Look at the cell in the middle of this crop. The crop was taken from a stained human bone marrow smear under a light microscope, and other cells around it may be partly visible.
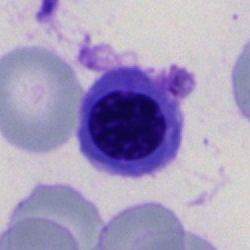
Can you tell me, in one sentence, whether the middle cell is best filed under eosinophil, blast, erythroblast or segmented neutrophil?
Classification of the middle cell gives an erythroblast.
